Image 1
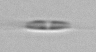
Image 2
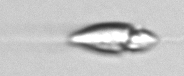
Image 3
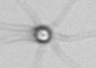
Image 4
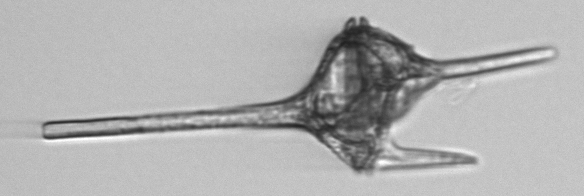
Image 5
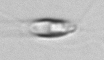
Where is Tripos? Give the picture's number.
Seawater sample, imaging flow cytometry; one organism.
4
